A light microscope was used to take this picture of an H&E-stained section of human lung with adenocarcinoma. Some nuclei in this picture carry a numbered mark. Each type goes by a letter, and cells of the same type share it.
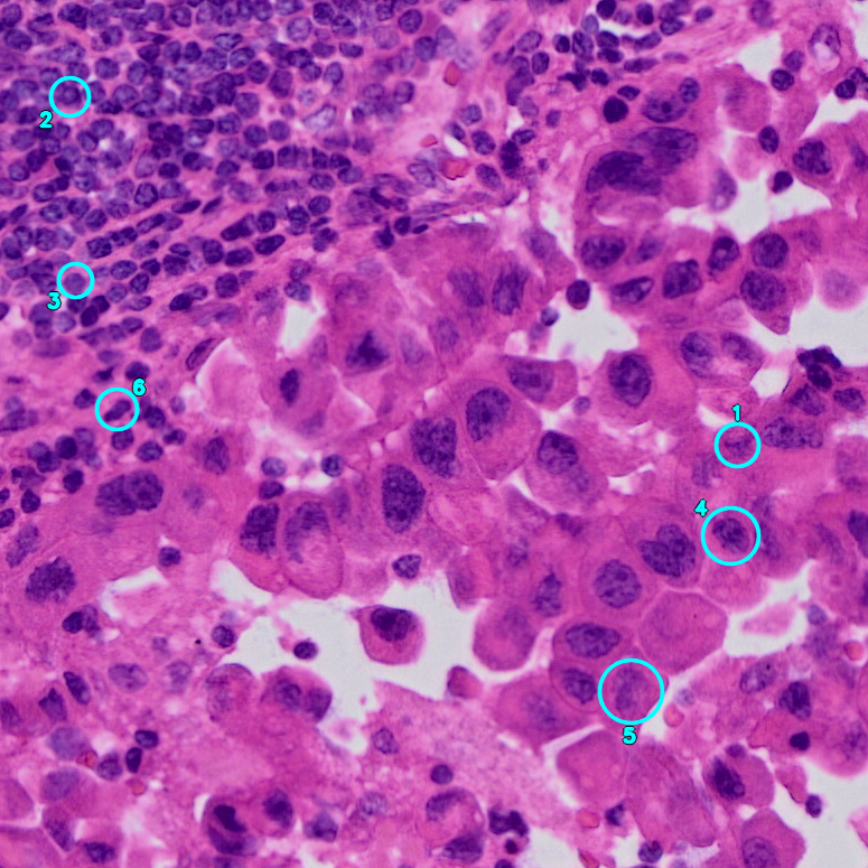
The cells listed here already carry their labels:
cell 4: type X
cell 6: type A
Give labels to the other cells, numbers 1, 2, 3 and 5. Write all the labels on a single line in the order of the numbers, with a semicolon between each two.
type X; type A; type A; type X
